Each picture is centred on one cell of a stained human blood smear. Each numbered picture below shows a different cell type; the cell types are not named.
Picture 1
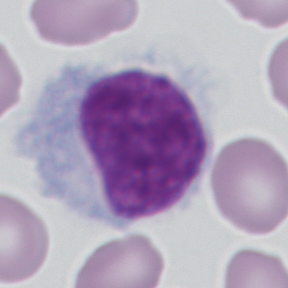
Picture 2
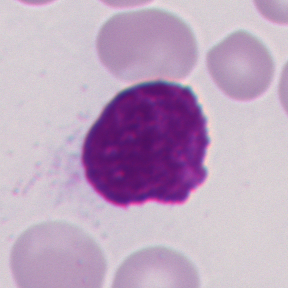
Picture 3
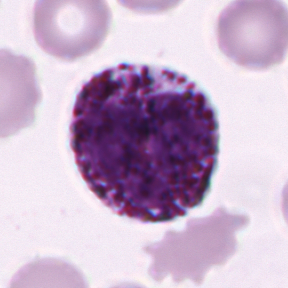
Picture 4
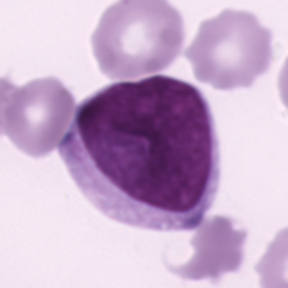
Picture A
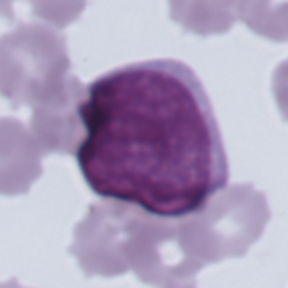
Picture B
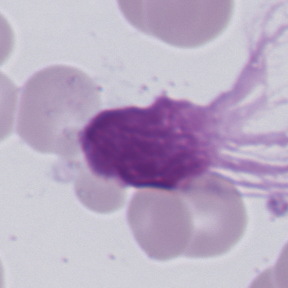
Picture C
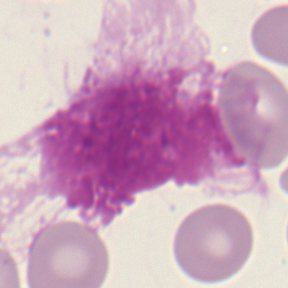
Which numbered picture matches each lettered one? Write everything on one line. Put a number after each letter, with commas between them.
A 4, B 2, C 2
